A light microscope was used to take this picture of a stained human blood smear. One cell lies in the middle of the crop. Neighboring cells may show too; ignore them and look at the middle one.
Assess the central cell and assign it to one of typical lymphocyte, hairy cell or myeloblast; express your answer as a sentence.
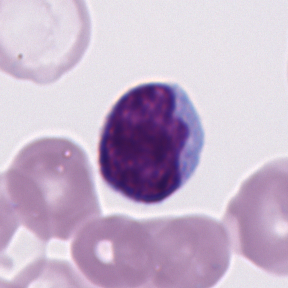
As for the central cell, it is a typical lymphocyte.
